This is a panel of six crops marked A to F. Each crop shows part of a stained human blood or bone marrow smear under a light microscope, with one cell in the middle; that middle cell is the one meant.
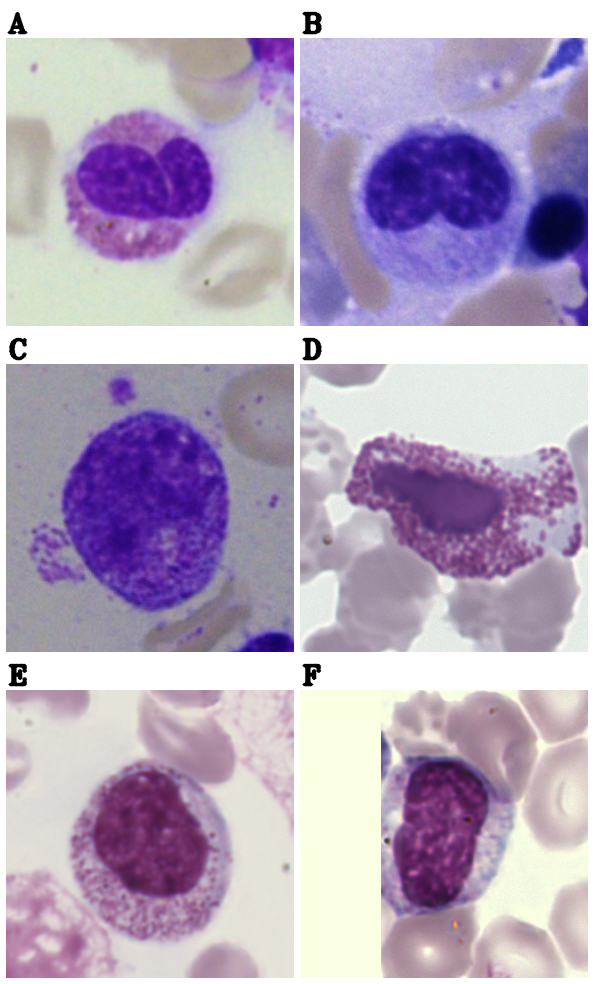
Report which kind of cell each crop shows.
A: eosinophil
B: metamyelocyte
C: metamyelocyte
D: eosinophil
E: metamyelocyte
F: metamyelocyte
